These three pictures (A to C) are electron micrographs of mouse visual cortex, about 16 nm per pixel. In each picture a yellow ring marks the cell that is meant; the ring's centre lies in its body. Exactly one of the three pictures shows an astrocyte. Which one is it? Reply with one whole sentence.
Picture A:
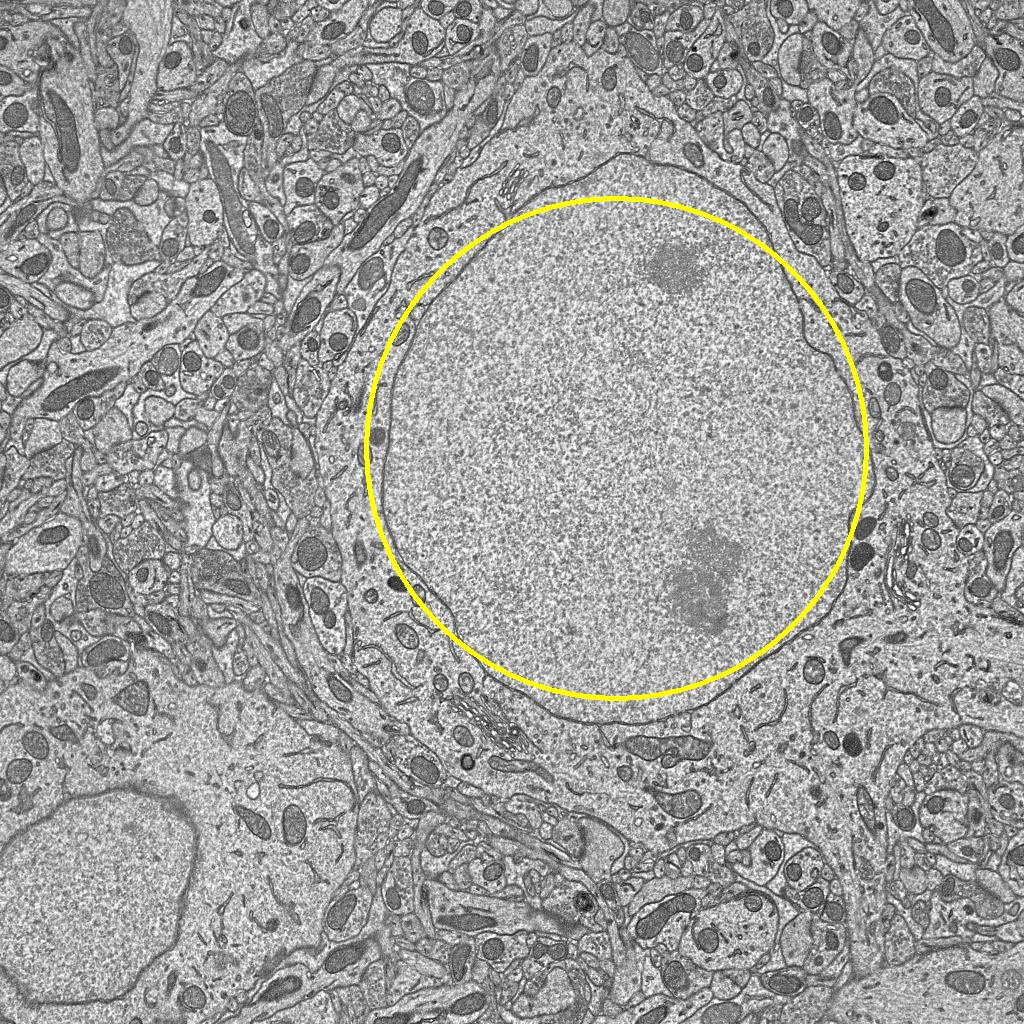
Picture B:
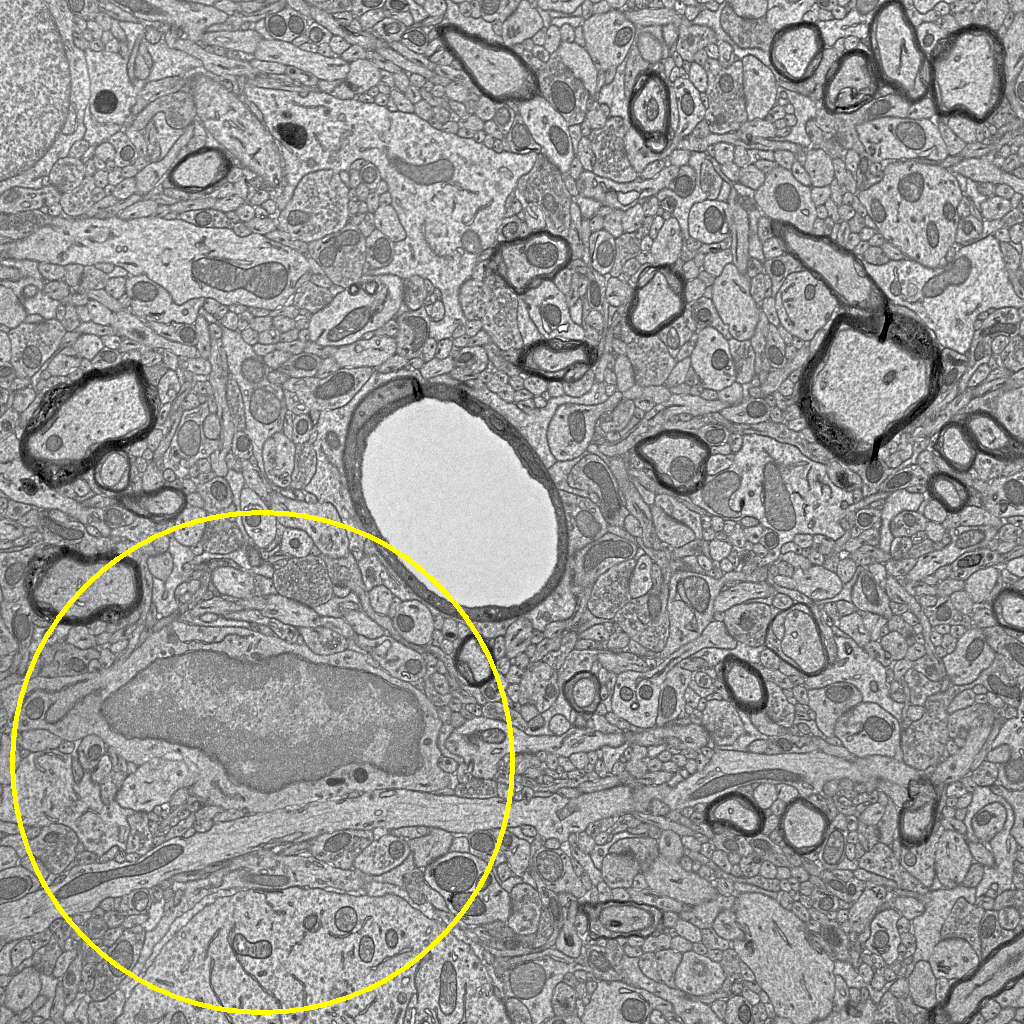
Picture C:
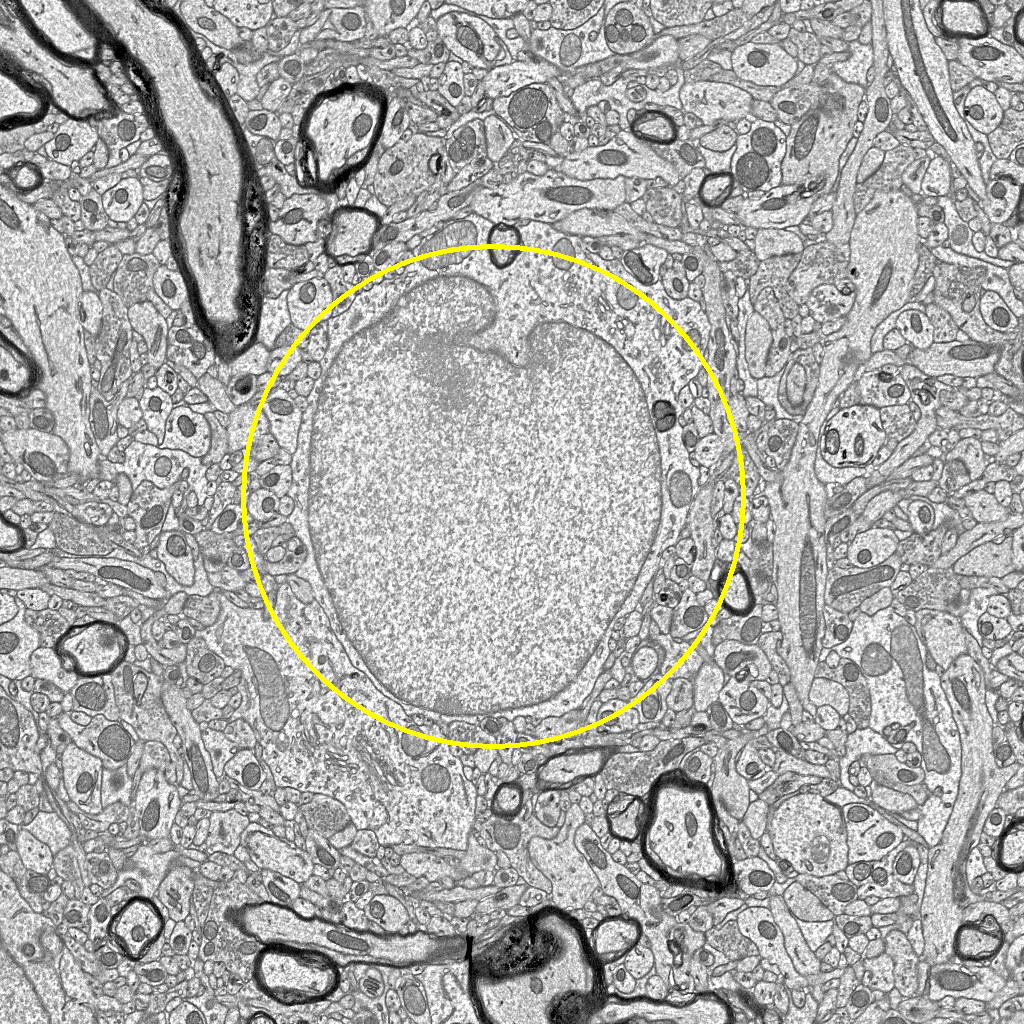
Picture C is the one that shows the astrocyte.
